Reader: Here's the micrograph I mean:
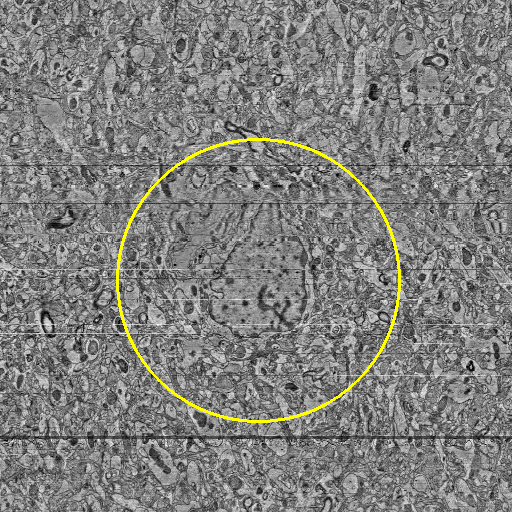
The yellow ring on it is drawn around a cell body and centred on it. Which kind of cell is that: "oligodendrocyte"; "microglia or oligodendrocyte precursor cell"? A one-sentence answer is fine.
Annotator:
The ring is centred on a microglial cell or oligodendrocyte precursor cell.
